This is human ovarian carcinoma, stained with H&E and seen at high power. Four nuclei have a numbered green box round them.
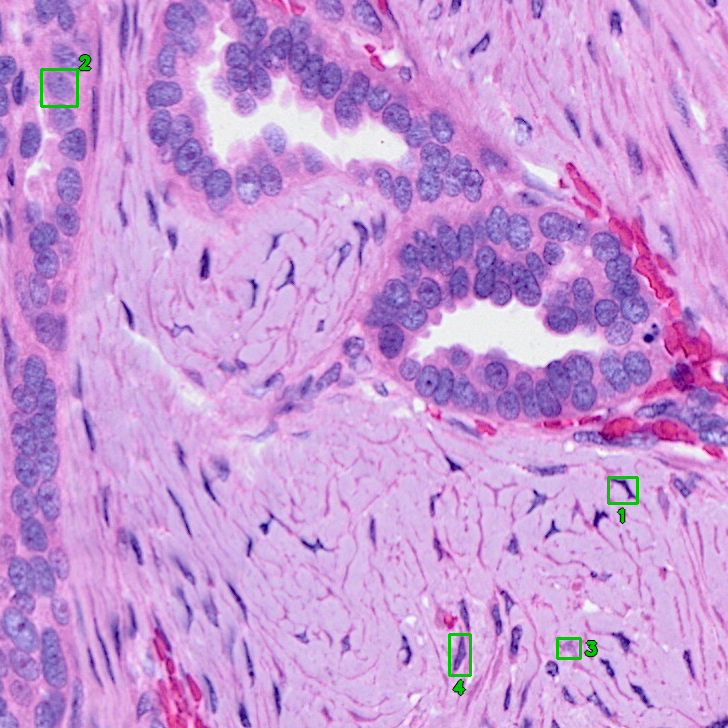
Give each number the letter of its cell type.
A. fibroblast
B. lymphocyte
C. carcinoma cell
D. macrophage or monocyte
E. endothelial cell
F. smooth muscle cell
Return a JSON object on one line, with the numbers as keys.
{"1": "A", "2": "C", "3": "A", "4": "A"}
